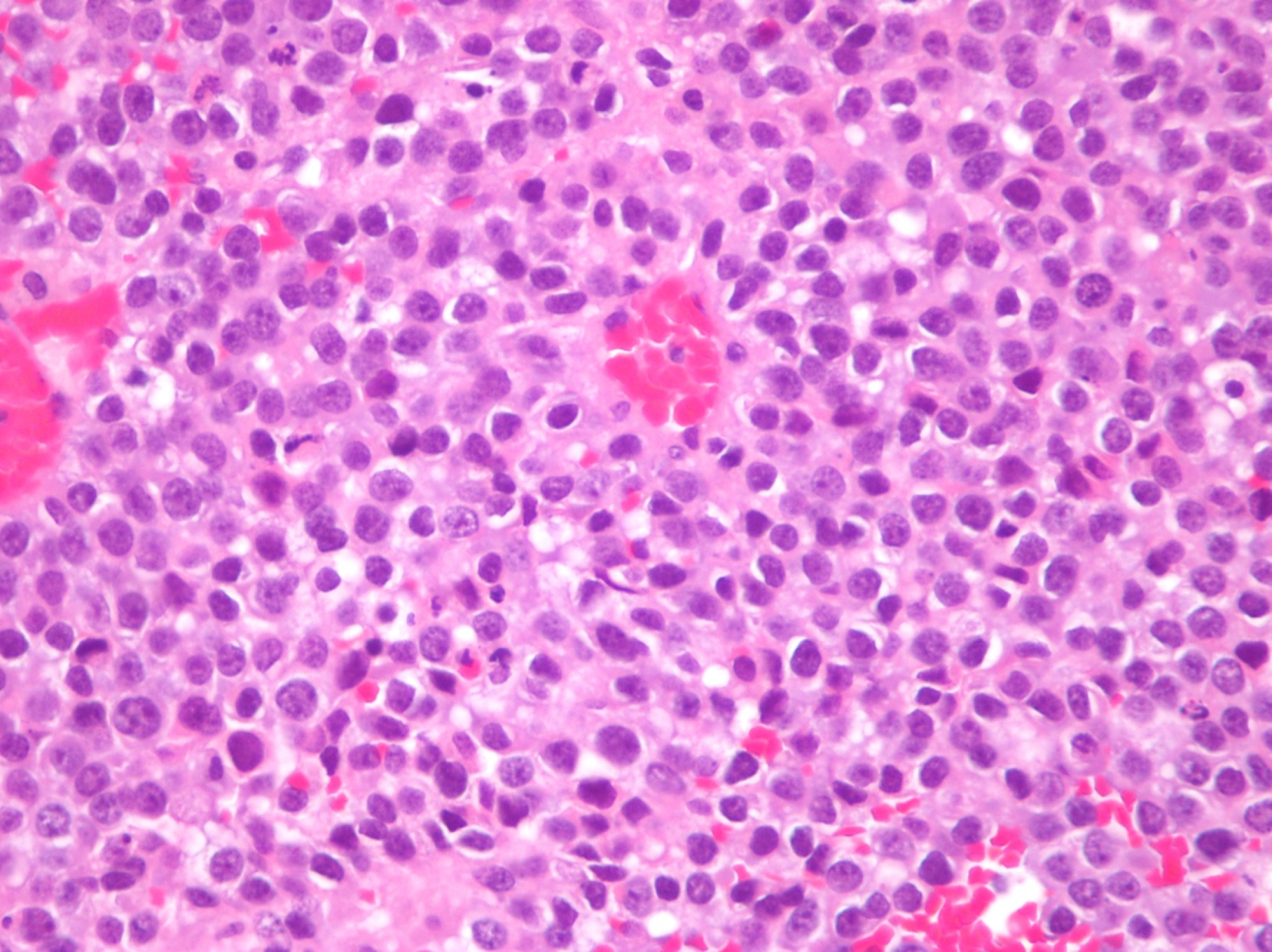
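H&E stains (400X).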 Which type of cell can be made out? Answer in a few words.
Small, round to oval malignant tumor cells.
